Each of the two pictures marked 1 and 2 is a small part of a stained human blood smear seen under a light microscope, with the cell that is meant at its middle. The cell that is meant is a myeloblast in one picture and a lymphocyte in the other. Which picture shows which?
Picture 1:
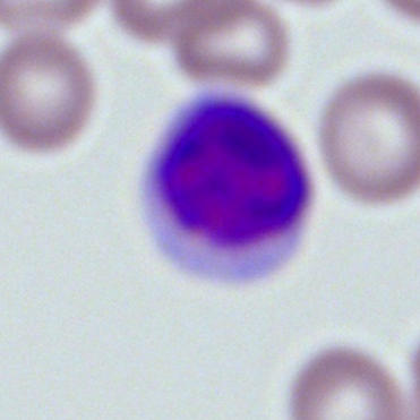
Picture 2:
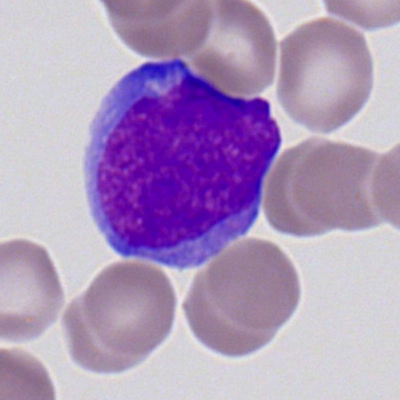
1: lymphocyte
2: myeloblast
